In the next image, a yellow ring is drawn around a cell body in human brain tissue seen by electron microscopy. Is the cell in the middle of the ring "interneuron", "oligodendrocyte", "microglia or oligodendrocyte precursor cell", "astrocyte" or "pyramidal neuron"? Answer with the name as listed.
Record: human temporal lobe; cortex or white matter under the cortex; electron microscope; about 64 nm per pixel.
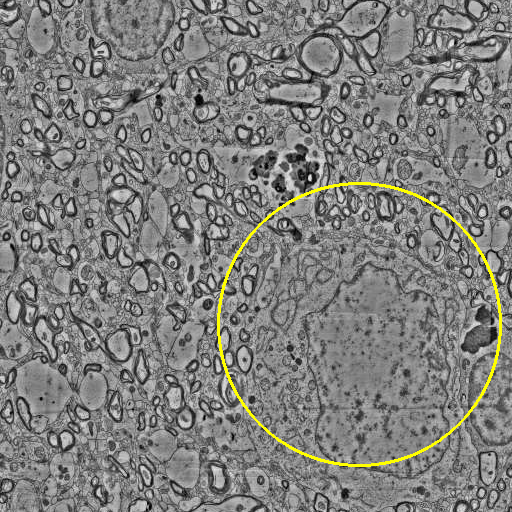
interneuron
